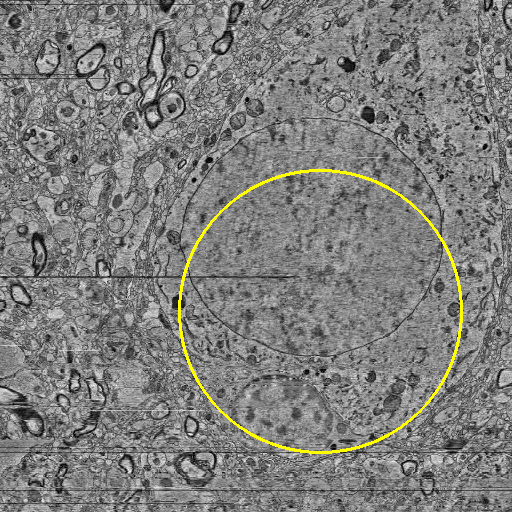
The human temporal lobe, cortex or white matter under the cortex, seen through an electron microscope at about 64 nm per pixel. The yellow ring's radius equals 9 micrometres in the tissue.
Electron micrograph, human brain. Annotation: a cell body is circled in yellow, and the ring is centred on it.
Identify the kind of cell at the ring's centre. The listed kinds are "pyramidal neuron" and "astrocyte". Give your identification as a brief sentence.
The circled cell body is that of a pyramidal neuron.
